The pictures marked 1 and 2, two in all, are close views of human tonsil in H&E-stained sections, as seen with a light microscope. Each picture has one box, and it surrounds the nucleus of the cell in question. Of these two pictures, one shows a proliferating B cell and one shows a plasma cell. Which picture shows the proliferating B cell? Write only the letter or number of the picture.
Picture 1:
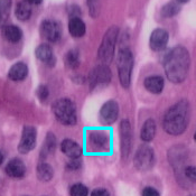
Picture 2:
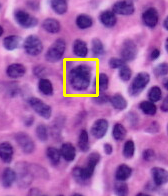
2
